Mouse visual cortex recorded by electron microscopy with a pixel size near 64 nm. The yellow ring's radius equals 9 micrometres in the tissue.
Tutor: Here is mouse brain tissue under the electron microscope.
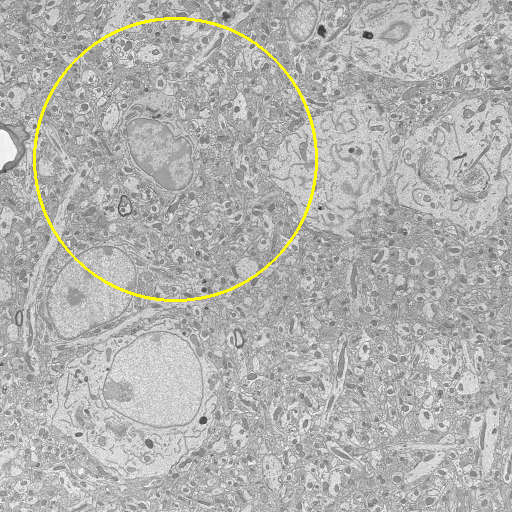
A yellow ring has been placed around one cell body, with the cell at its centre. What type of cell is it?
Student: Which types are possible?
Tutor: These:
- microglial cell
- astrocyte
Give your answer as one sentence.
What the ring picks out here is a microglial cell.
